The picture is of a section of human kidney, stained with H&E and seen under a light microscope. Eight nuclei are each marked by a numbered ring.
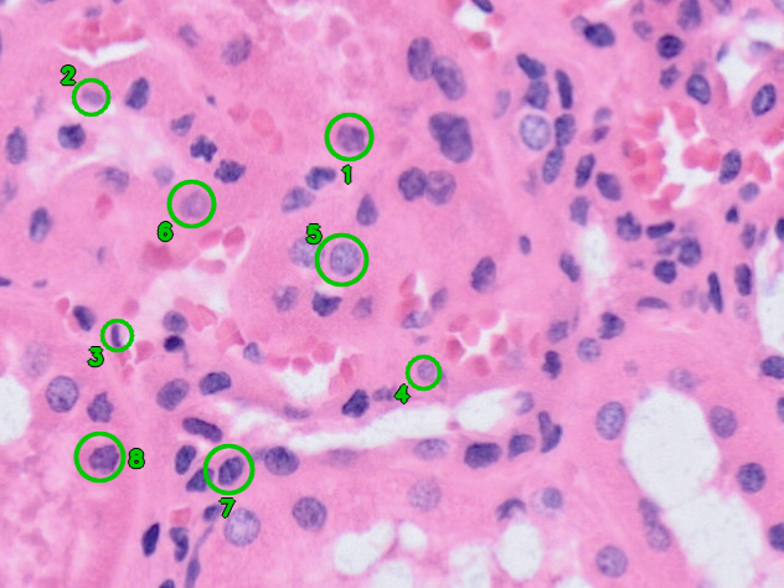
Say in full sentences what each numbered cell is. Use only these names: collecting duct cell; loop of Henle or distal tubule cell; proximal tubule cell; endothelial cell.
Cells 1 and 8 are proximal tubule cells. Cells 2, 5 and 6 are loop of Henle or distal tubule cells. Cell 3 is an endothelial cell. Cells 4 and 7 are collecting duct cells.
